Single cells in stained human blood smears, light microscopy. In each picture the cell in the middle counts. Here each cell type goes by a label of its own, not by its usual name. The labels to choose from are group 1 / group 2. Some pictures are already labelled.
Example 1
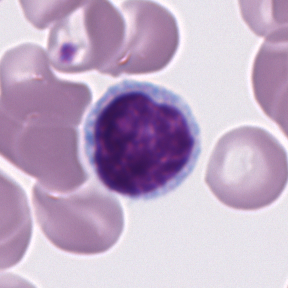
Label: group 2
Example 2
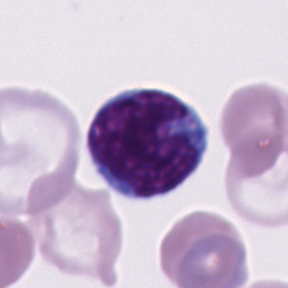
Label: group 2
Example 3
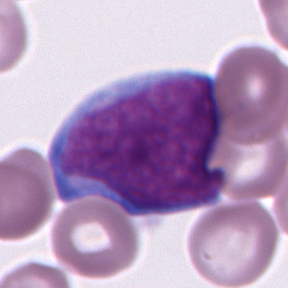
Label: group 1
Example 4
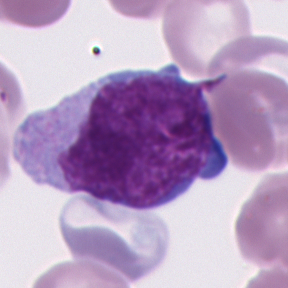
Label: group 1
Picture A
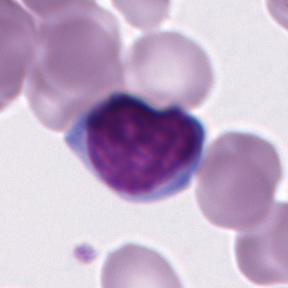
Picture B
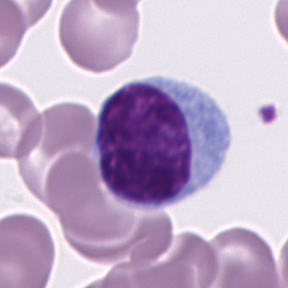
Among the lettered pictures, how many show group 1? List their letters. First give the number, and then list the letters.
0, none of them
